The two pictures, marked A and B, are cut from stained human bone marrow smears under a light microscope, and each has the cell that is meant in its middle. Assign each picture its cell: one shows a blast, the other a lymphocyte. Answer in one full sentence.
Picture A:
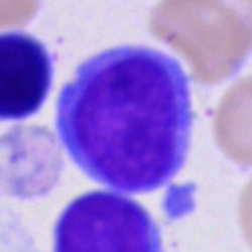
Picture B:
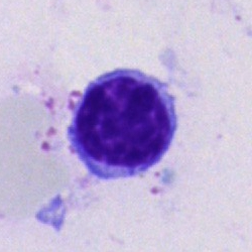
Picture A shows a blast and picture B shows a lymphocyte.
